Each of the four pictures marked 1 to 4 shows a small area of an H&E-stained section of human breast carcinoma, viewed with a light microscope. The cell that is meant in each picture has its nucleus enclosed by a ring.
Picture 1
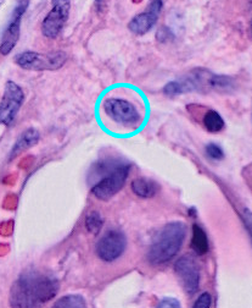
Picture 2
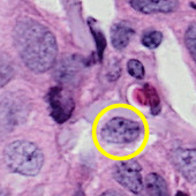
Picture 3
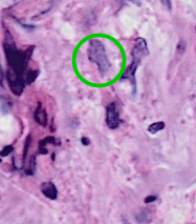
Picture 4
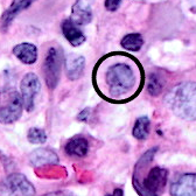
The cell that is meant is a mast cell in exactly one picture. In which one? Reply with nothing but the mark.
1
